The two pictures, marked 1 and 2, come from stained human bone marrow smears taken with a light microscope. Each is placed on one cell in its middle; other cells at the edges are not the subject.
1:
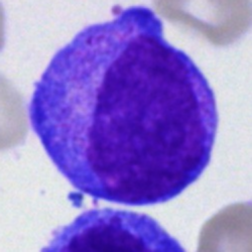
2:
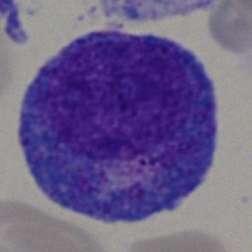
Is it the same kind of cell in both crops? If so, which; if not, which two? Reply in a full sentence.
Yes, what both crops show at their centres are promyelocytes.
